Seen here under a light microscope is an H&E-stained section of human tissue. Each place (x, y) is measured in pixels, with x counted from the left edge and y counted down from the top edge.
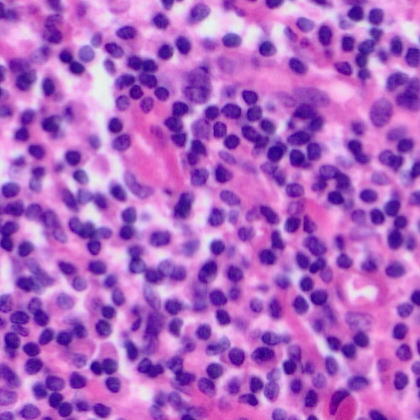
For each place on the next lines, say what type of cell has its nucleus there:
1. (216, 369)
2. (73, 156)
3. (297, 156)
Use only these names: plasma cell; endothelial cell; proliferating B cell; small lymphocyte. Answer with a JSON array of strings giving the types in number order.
["small lymphocyte", "plasma cell", "small lymphocyte"]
